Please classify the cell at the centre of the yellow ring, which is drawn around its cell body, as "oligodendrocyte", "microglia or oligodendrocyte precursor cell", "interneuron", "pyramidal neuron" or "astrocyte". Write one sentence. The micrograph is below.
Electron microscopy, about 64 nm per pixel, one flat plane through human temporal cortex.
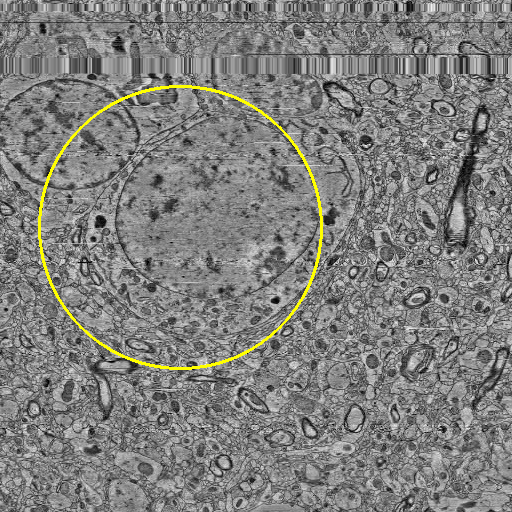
The cell at the ring's centre is classified as a pyramidal neuron.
